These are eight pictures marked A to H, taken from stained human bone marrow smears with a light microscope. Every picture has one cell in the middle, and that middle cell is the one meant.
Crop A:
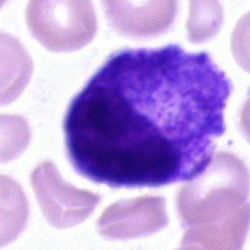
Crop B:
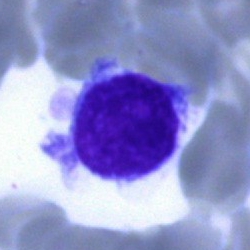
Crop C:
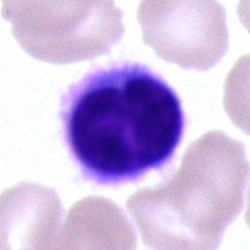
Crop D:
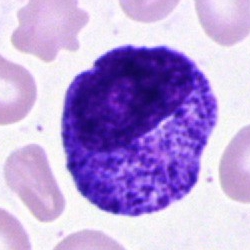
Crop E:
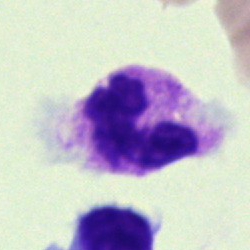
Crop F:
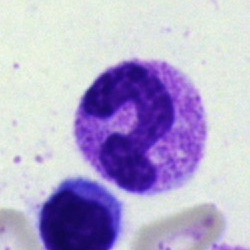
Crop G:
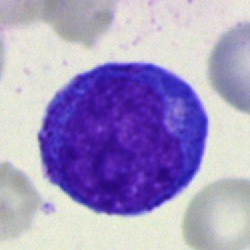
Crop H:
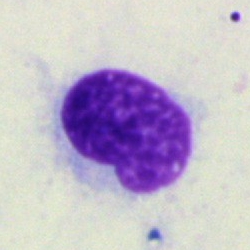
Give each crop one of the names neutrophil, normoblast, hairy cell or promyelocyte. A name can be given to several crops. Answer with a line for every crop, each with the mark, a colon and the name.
A: promyelocyte
B: hairy cell
C: hairy cell
D: promyelocyte
E: neutrophil
F: neutrophil
G: promyelocyte
H: hairy cell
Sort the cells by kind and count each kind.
promyelocyte: 3
hairy cell: 3
neutrophil: 2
